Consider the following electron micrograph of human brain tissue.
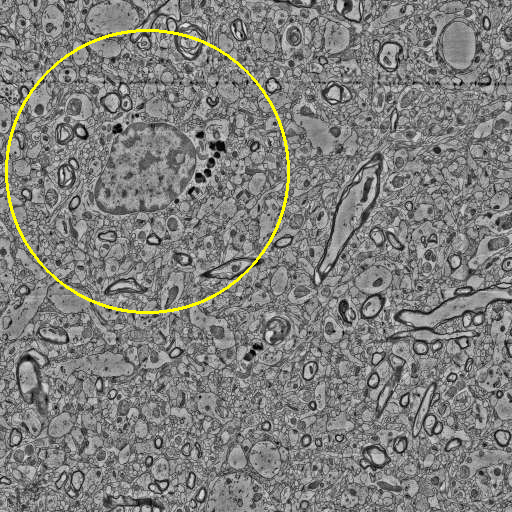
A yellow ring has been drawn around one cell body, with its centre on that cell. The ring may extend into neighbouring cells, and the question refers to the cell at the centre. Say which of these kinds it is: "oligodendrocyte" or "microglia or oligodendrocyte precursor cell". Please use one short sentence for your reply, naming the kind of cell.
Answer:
The centre of the ring falls on a microglial cell or oligodendrocyte precursor cell.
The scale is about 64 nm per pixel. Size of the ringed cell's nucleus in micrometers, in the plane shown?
About 7 by 6 micrometers, in this plane.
